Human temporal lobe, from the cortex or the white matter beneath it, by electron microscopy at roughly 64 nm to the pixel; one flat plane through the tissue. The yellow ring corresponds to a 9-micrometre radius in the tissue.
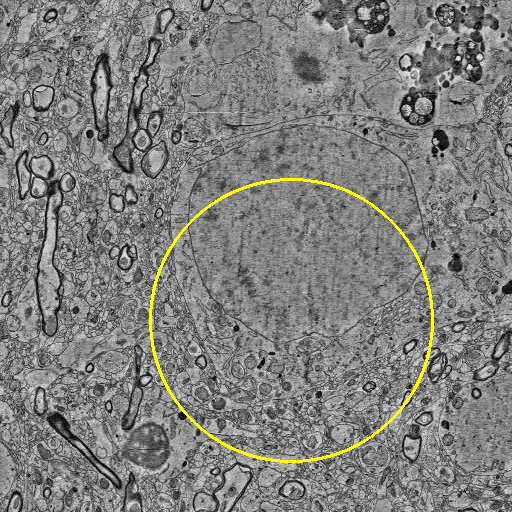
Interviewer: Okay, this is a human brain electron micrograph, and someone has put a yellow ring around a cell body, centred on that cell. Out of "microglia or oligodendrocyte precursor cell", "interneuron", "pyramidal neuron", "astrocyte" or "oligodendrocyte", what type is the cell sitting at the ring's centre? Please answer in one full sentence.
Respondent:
The cell at the centre of the yellow ring in this picture is a pyramidal neuron.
